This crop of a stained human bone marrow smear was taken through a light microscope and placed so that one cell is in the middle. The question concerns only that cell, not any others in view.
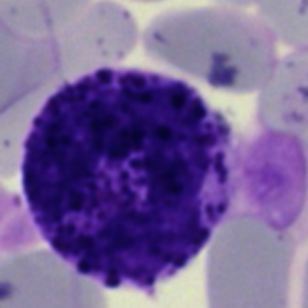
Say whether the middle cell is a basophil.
yes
